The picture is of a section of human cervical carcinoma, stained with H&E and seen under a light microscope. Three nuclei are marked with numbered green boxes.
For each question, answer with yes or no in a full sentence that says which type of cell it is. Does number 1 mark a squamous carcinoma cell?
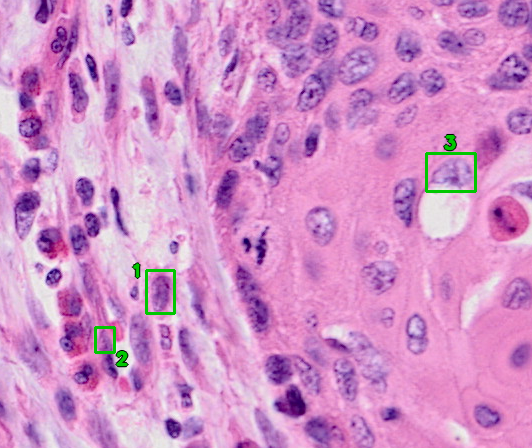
No, number 1 identifies a macrophage or monocyte, not a squamous carcinoma cell.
